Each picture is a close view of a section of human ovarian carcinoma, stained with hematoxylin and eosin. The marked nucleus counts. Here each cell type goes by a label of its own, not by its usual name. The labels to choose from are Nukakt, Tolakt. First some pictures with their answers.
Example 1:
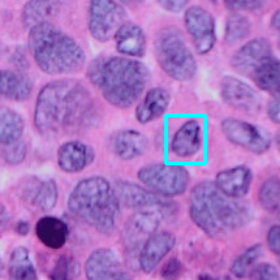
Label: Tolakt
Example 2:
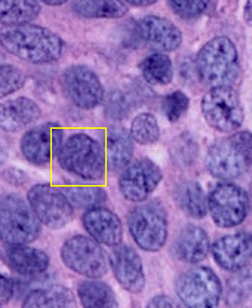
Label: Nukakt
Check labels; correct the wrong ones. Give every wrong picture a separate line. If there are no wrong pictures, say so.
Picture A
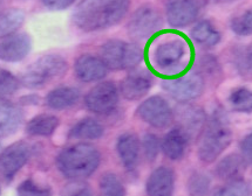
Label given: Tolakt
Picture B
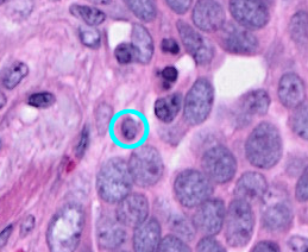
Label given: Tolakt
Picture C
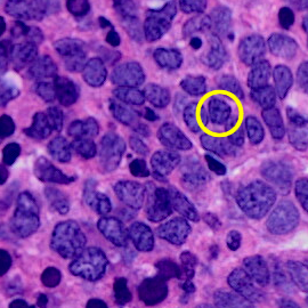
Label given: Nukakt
All correct.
